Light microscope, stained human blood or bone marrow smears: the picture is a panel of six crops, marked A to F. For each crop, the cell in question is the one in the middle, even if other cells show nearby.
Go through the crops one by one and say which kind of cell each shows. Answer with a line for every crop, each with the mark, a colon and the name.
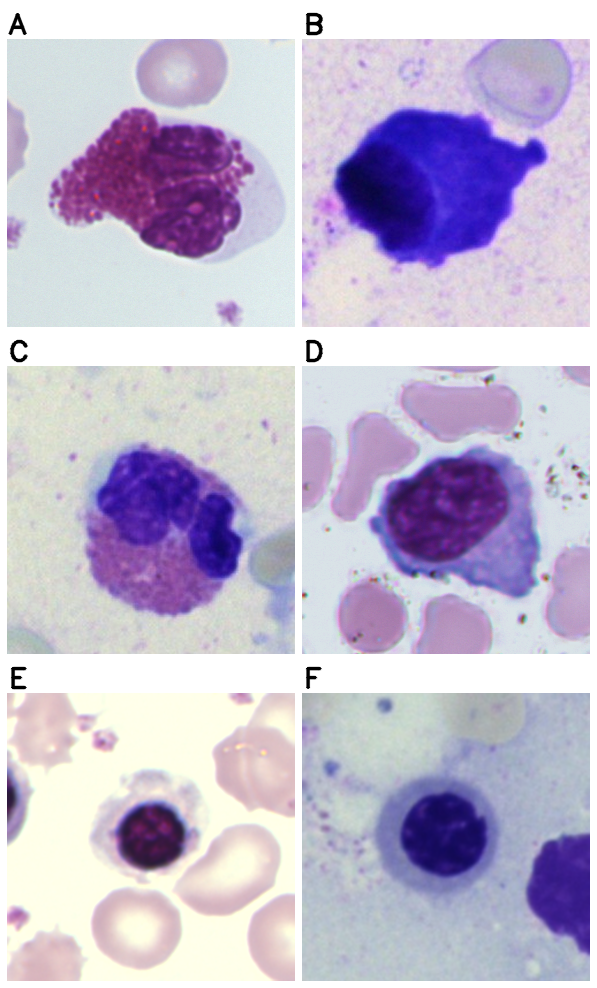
A: eosinophil
B: plasma cell
C: eosinophil
D: plasma cell
E: erythroblast
F: erythroblast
